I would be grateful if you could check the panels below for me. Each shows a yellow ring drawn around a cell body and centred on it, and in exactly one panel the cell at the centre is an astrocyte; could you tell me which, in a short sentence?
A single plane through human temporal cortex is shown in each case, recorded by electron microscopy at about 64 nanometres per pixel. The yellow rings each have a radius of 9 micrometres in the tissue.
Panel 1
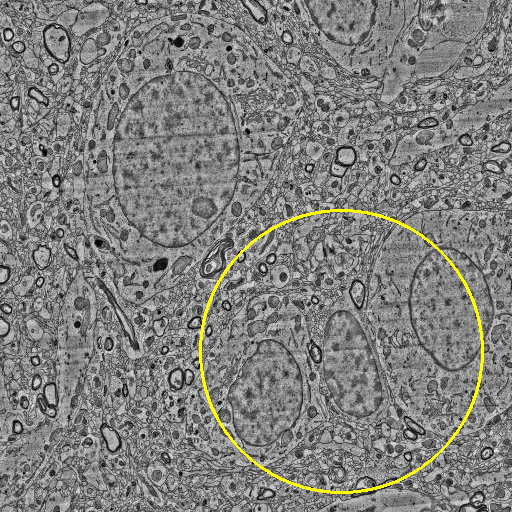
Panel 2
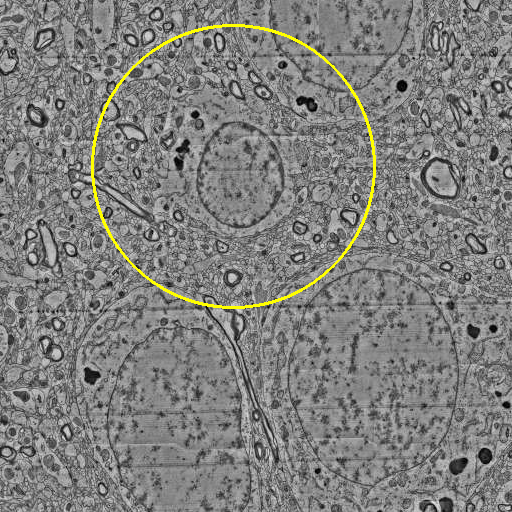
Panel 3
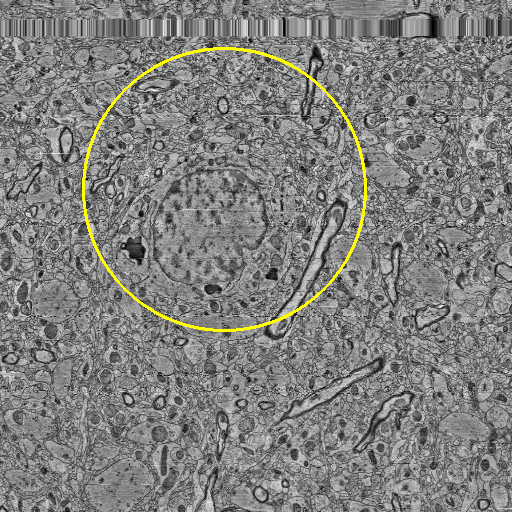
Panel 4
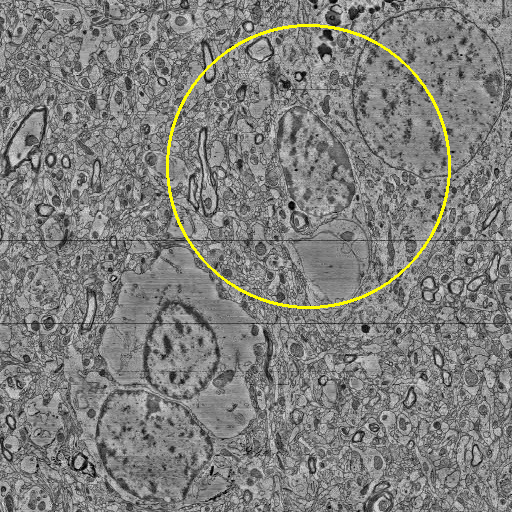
The ring in Panel 2 is centred on it.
